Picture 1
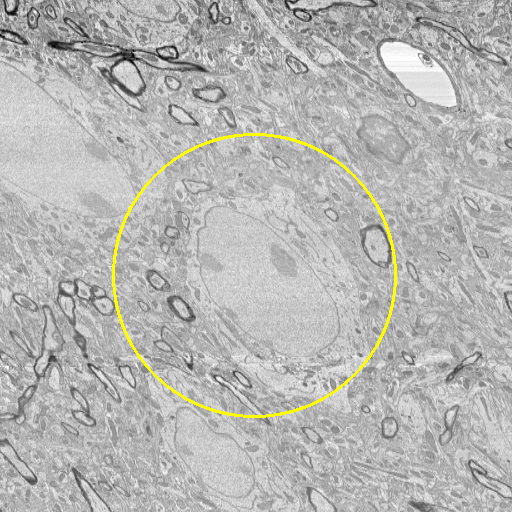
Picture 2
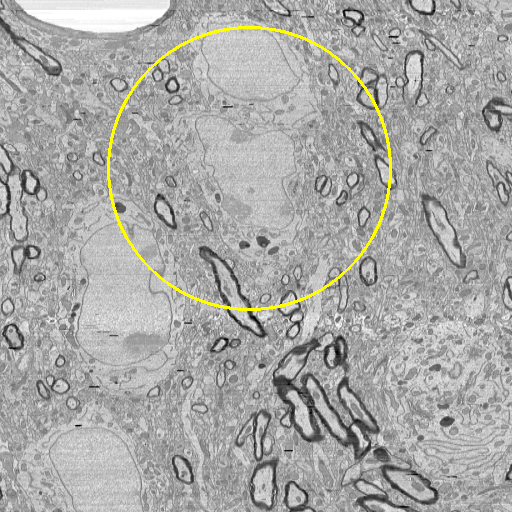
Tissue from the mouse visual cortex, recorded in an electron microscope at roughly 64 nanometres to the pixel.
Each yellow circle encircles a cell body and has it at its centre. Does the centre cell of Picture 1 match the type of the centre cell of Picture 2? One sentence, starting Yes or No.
Yes, the cell centred in Picture 1 and the one in Picture 2 share a type.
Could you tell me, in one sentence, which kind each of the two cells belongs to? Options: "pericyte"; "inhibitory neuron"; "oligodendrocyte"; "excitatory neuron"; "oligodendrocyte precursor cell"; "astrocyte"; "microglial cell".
In each picture the ringed cell is an excitatory neuron.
